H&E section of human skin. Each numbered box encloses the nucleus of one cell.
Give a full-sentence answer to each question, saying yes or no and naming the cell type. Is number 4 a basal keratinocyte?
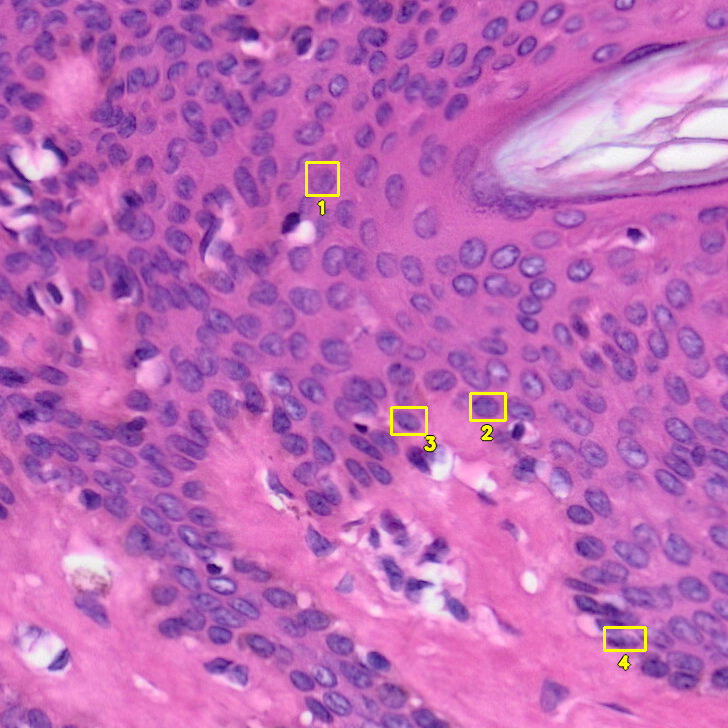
Yes, regarding cell number 4, it is a basal keratinocyte.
